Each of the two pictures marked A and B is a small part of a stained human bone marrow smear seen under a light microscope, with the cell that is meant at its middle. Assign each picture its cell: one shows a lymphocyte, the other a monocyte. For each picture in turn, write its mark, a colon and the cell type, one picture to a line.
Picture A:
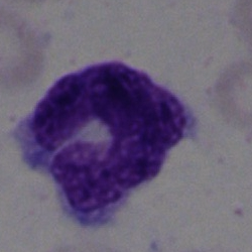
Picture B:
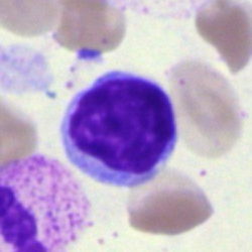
A: monocyte
B: lymphocyte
